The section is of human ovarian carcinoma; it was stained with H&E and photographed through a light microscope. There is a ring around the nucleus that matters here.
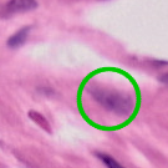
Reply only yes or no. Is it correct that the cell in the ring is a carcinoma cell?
no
